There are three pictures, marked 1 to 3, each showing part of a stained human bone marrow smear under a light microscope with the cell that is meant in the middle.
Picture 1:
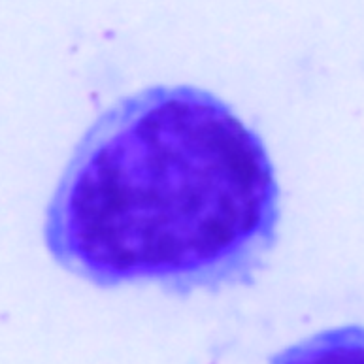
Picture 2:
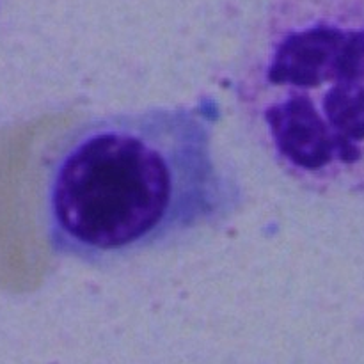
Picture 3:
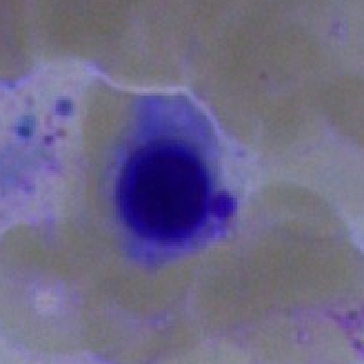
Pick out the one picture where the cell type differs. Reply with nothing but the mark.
1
